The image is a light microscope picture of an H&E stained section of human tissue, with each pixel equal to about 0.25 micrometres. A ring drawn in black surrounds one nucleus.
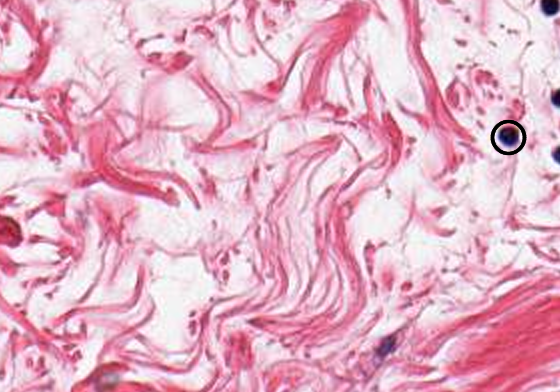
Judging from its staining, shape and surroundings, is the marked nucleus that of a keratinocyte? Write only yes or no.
no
